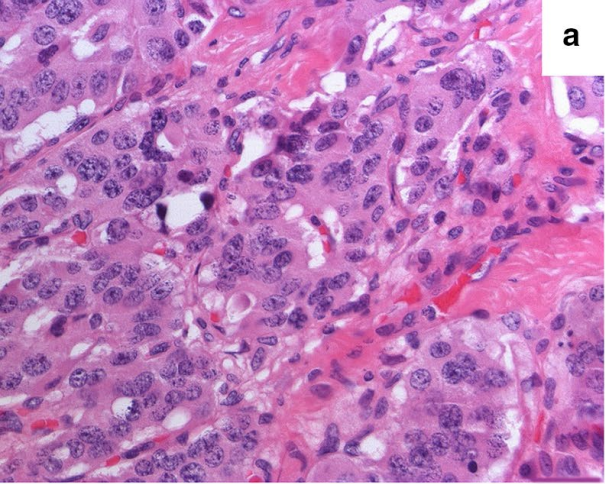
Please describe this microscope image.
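Neuroendocrine tumor cells arranged in nests and cords separated by bands of pink fibrous stroma with small vessels. The tumor cells have moderate amounts of pink cytoplasm and round to oval nuclei of somewhat varying size. The nuclear chromatin is finely stippled and granular. Small clear spaces and capillaries lie between the cell groups.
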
